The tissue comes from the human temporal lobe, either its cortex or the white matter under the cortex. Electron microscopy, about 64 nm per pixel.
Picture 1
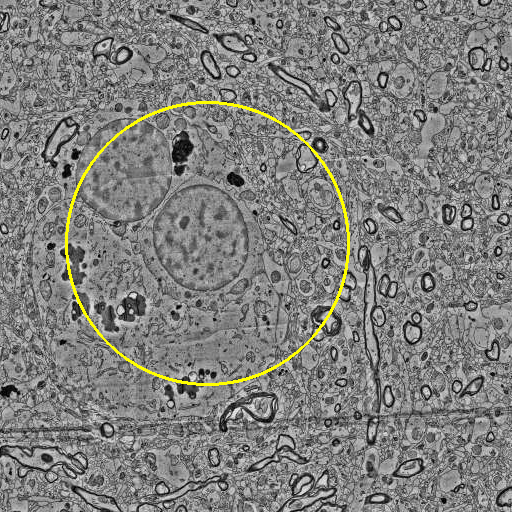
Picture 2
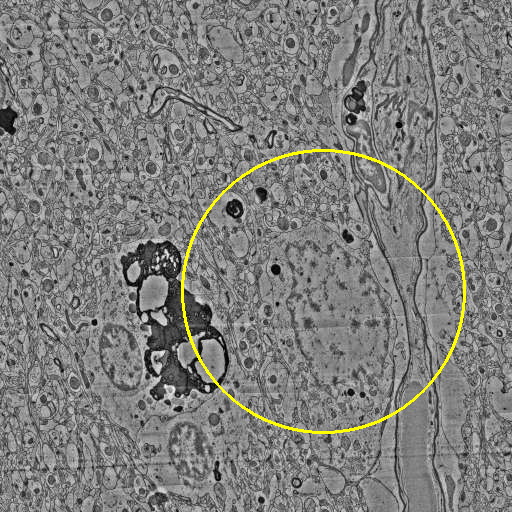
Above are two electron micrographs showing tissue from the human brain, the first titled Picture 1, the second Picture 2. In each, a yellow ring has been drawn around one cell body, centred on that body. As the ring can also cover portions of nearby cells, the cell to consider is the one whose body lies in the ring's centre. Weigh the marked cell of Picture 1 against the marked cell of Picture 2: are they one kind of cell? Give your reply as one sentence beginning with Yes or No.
No, the two cells sitting at the ring centres in the pictures are of two kinds.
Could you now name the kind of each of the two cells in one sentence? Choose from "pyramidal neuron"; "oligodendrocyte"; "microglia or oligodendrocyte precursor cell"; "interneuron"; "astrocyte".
The first ring encloses an oligodendrocyte; the second ring encloses an interneuron.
